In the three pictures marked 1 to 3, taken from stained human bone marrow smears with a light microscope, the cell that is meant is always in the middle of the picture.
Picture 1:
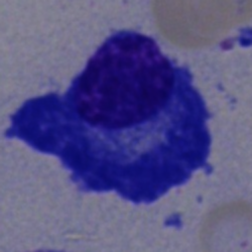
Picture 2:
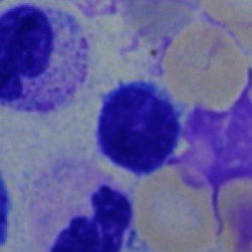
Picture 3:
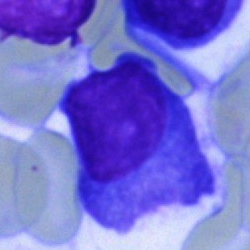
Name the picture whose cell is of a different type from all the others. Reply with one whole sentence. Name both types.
The different one is picture 2; it shows a lymphocyte, whereas all the others show plasma cells.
